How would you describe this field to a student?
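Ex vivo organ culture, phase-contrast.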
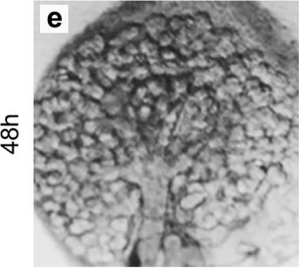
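Seen as a whole, a rounded explant is filled almost completely by a dense cluster of small, rounded epithelial end buds with darker outlines. The buds are crowded side by side, especially toward the periphery, and are connected by thin branching stalks that converge toward a central main duct region at the lower middle. Little clear surrounding mesenchyme remains between the buds. Individual cells cannot be resolved; the picture shows tissue architecture of a richly branched gland.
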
